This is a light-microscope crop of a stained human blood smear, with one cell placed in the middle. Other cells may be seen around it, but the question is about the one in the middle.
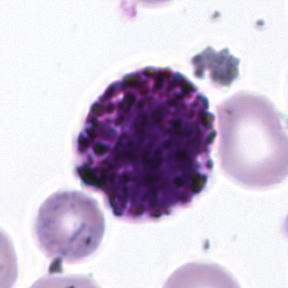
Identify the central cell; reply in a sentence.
Framed in the middle of the crop is a basophil.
